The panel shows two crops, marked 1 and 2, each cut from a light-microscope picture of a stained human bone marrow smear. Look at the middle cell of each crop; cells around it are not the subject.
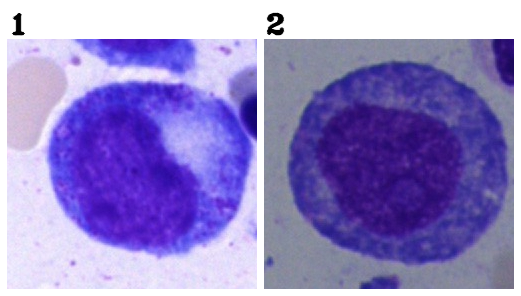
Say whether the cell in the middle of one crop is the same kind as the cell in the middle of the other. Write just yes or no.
yes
